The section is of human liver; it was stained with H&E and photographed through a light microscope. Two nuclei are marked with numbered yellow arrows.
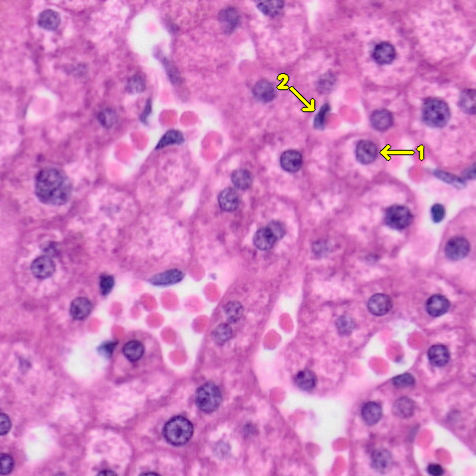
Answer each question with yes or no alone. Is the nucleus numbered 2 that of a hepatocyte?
no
